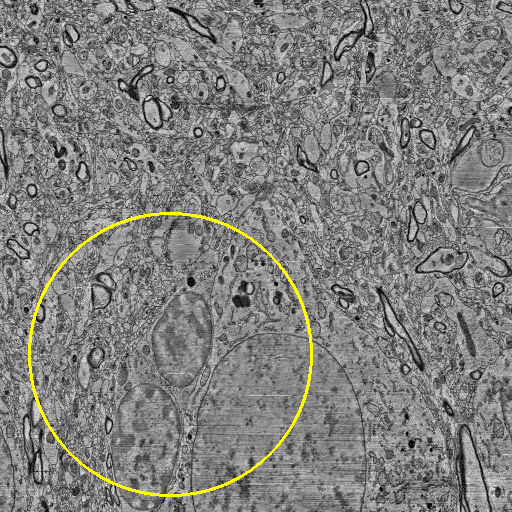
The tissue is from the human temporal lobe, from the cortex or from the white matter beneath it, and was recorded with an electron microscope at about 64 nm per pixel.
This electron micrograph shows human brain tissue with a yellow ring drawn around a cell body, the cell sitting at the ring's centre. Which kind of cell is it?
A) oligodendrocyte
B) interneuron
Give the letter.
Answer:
A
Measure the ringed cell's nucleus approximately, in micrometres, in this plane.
About 6 by 4 micrometers in this plane, so the nucleus is clearly longer than it is wide.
